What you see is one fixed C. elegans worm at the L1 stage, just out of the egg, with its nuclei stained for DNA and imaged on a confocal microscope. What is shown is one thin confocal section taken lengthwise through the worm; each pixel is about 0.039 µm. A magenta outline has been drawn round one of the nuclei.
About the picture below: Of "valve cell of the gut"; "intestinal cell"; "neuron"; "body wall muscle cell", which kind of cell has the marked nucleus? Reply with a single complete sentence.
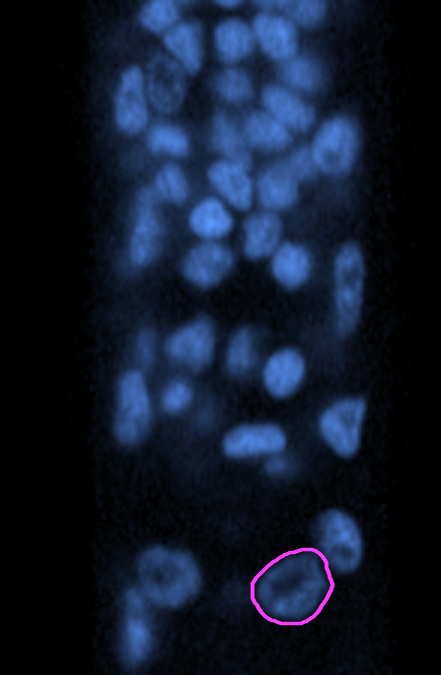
This nucleus is from an intestinal cell.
